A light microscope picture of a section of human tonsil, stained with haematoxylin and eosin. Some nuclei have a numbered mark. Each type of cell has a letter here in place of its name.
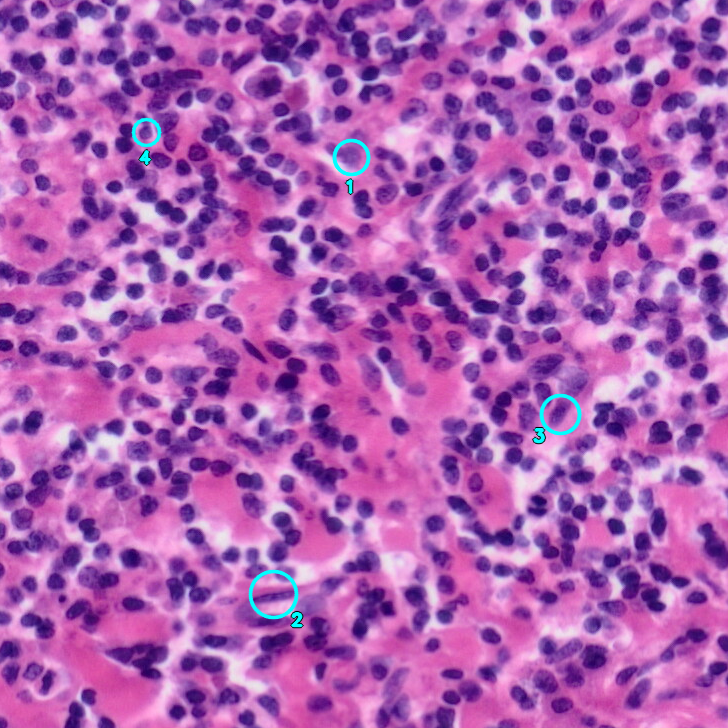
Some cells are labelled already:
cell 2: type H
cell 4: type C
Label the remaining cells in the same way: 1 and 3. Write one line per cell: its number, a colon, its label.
1: type H
3: type H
